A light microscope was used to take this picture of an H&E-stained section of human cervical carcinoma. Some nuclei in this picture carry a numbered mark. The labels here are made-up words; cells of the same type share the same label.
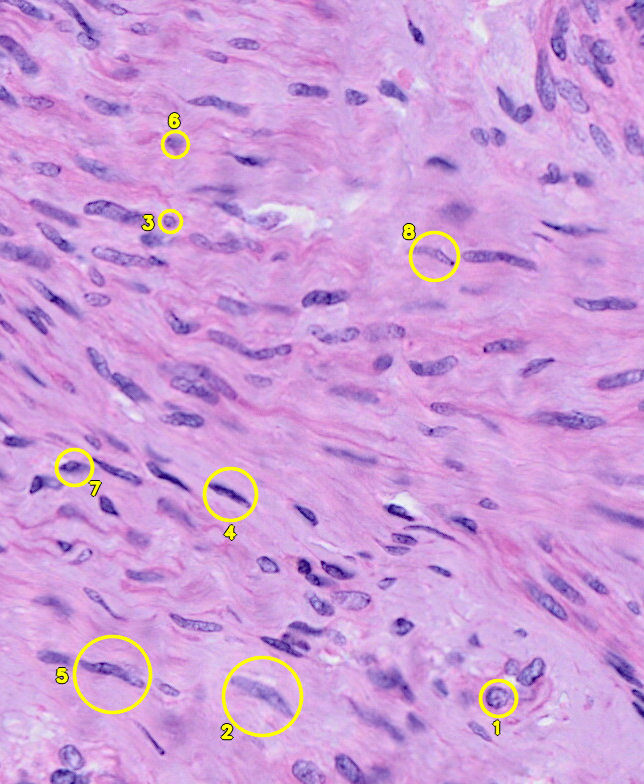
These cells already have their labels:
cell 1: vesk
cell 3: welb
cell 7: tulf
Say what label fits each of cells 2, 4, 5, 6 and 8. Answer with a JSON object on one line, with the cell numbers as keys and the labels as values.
{"2": "tulf", "4": "tulf", "5": "tulf", "6": "welb", "8": "tulf"}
